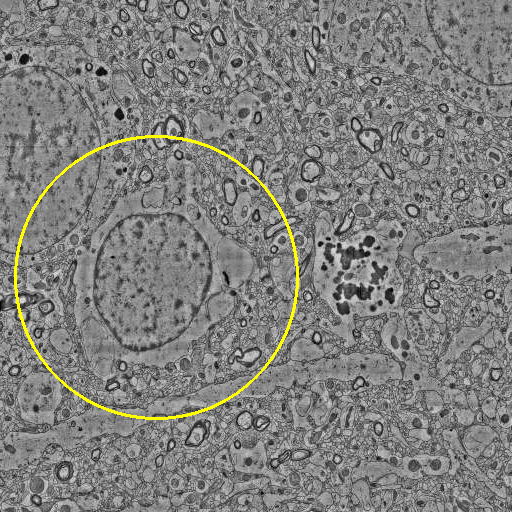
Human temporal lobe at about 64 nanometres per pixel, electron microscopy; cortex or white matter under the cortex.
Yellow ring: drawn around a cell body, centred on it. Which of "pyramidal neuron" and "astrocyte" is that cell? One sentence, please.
That cell body is from an astrocyte.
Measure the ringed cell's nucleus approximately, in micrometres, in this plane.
The ringed cell's nucleus is about 9 micrometres long and 7 micrometres wide in this plane.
